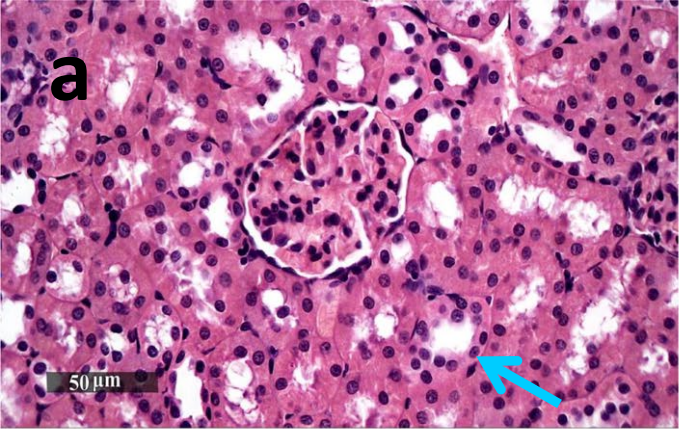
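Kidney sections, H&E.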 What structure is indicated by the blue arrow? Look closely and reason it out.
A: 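Tubular epithelia. The arrow points at a tubule lined by cuboidal cells with round central nuclei.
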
